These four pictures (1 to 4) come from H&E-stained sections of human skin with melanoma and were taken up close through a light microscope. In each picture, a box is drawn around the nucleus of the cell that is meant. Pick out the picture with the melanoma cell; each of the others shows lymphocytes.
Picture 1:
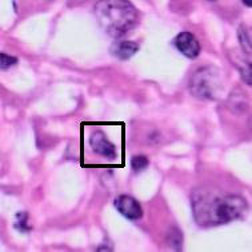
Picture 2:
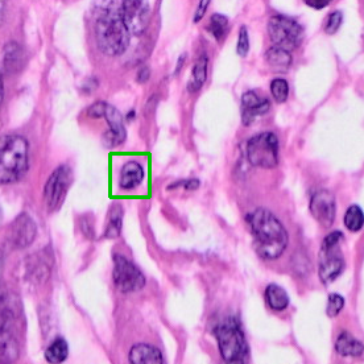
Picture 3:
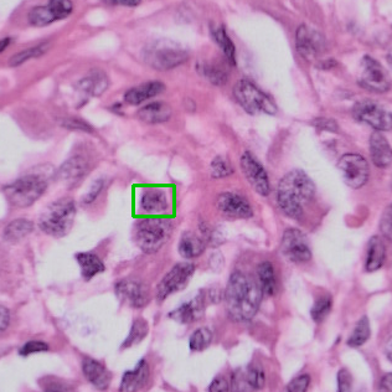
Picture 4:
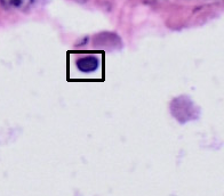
3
